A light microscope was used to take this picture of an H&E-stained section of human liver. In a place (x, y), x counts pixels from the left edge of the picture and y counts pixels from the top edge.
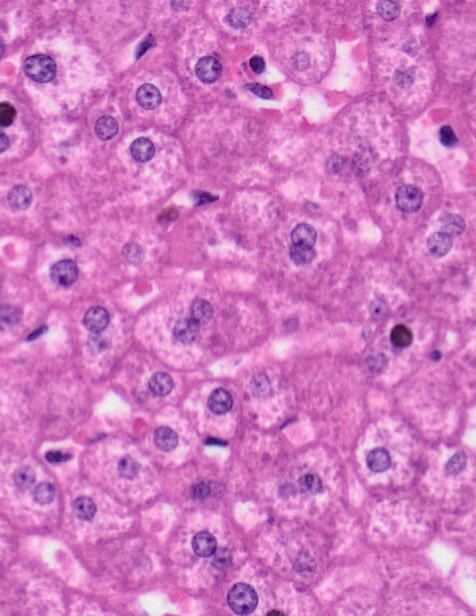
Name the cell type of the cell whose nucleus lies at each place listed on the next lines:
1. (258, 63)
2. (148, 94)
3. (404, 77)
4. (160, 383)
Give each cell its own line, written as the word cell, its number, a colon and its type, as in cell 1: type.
cell 1: lymphocyte
cell 2: hepatocyte
cell 3: hepatocyte
cell 4: hepatocyte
